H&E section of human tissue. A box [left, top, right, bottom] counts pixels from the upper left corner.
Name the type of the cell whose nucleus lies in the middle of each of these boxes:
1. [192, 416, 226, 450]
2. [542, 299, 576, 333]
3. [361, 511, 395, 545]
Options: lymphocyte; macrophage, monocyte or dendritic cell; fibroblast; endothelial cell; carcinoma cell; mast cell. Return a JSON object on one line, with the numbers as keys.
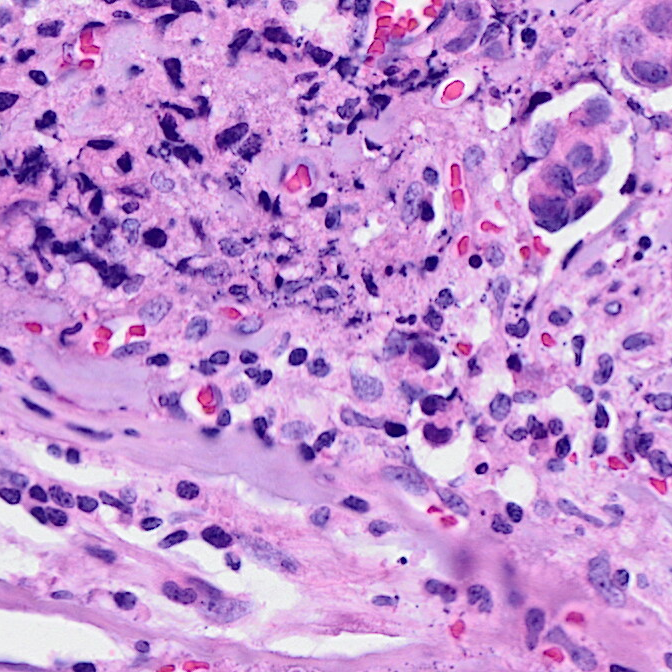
{"1": "lymphocyte", "2": "mast cell", "3": "mast cell"}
